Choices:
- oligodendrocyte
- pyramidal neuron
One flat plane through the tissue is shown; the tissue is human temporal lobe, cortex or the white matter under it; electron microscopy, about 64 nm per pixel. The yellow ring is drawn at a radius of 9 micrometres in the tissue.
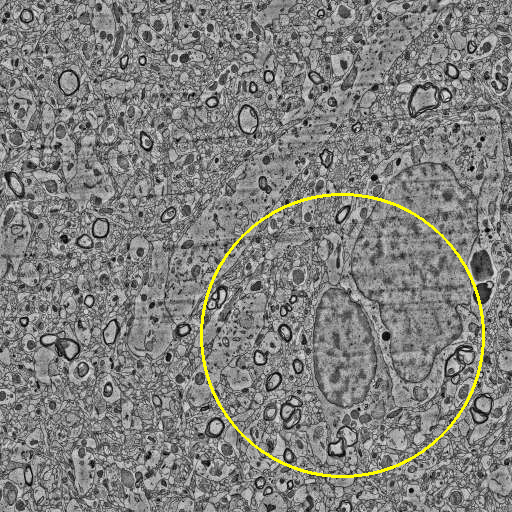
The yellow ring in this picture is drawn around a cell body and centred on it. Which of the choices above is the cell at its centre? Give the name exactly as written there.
oligodendrocyte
